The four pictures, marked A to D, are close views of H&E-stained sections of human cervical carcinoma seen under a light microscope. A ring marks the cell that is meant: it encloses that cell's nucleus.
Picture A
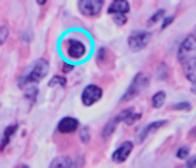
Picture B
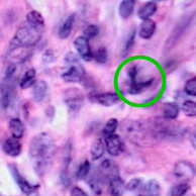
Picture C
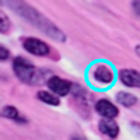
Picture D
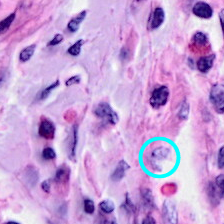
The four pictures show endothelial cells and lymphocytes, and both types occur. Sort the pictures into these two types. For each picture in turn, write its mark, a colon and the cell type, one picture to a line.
A: lymphocyte
B: lymphocyte
C: lymphocyte
D: endothelial cell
